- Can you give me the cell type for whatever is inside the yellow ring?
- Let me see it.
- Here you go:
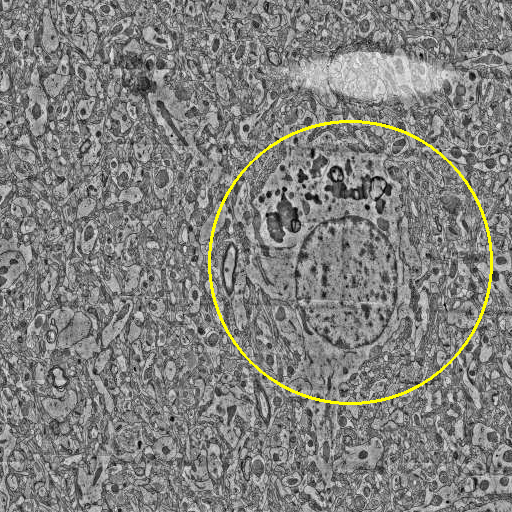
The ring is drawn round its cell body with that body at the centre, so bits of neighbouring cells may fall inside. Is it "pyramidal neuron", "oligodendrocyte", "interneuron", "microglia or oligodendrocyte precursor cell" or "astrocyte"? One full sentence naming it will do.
The cell body in the middle of the ring in this picture belongs to an astrocyte.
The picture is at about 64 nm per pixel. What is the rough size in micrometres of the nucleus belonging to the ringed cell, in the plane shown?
In this plane the nucleus is about 8 micrometres by 7.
